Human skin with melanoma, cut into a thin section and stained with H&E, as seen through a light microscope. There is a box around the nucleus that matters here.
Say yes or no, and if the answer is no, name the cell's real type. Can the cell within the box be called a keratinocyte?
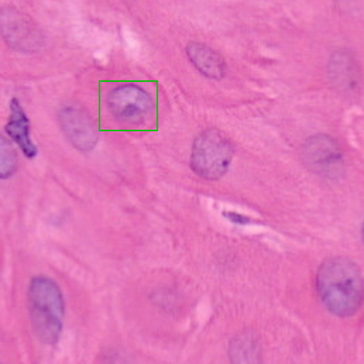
Yes.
